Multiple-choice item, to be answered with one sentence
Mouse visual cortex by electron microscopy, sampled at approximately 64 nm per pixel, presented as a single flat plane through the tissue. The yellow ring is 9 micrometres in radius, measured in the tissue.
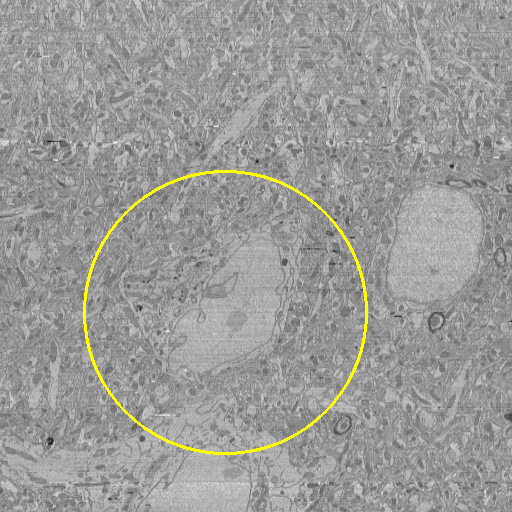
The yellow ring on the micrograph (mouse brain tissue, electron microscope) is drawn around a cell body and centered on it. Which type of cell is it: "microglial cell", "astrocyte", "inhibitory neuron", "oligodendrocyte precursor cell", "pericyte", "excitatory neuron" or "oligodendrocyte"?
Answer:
The ring is centered on an inhibitory neuron.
